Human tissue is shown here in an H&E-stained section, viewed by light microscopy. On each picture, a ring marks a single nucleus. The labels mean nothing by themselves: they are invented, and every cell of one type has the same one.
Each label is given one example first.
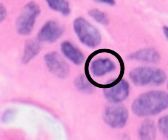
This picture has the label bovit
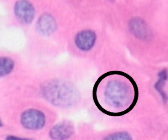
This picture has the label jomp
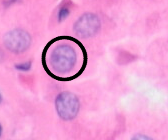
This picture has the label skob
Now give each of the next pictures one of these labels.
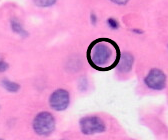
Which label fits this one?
jomp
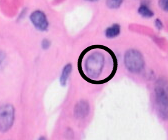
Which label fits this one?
bovit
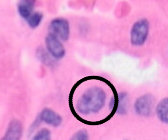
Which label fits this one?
bovit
